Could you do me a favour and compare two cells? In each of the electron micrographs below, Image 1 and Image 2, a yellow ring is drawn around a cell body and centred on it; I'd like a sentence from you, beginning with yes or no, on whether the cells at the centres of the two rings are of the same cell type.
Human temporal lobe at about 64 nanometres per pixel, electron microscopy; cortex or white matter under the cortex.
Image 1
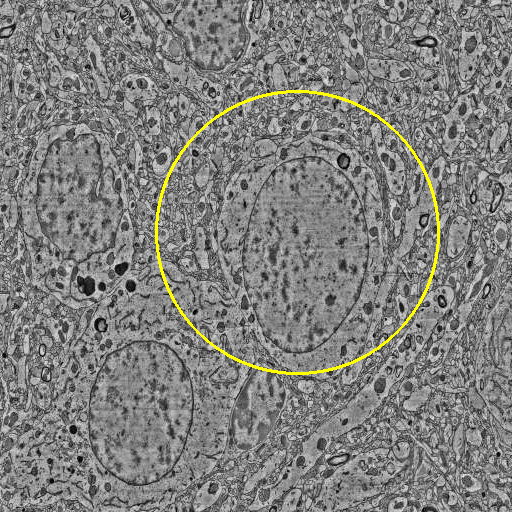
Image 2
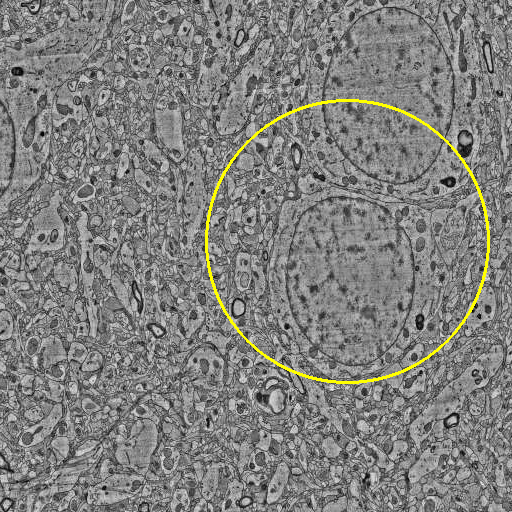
Yes, the two cells are of the same cell type.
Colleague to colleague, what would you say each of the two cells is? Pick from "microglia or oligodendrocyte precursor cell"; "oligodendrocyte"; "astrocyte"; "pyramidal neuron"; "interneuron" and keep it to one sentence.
In each of the two pictures, the ringed cell is a pyramidal neuron.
